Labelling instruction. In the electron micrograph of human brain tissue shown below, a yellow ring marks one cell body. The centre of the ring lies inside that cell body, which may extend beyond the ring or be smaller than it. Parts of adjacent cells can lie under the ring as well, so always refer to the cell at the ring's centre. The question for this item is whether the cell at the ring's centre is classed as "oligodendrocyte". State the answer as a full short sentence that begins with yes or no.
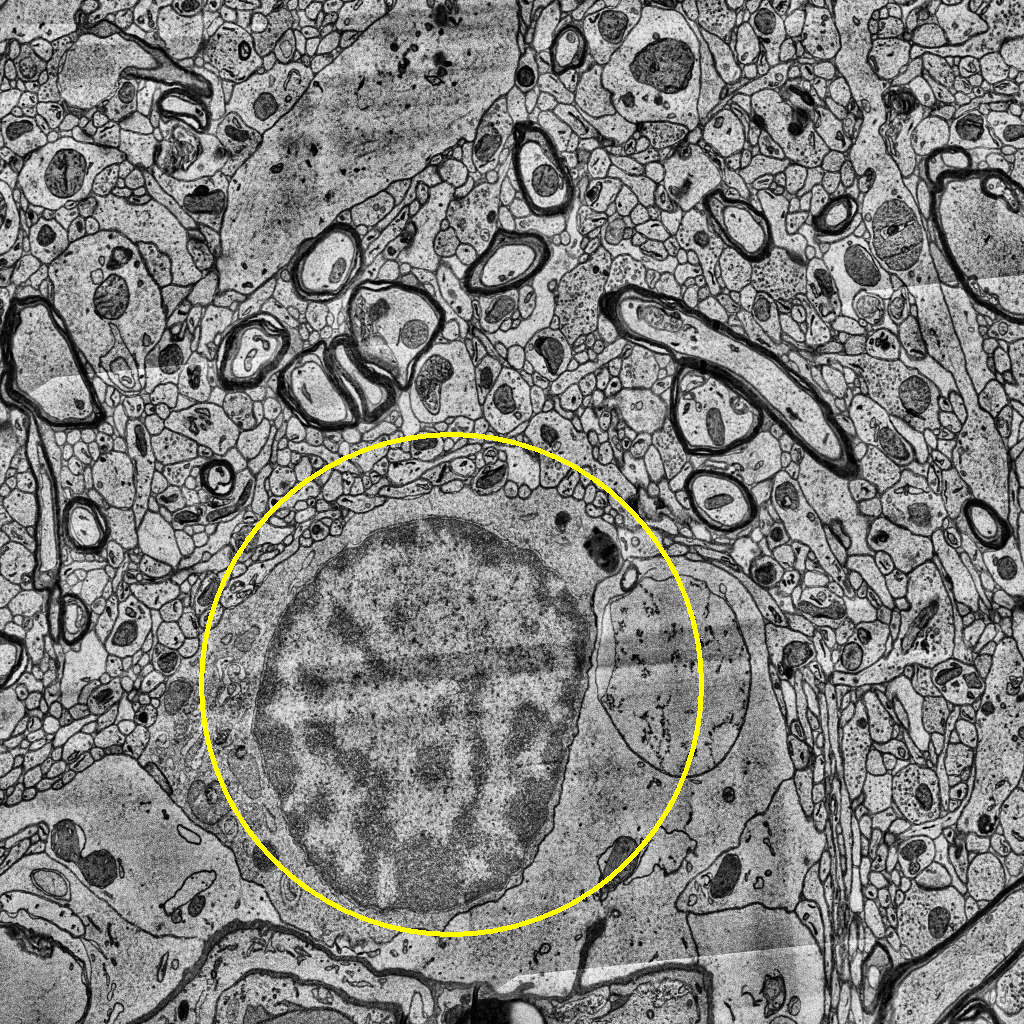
Yes, the cell at the ring's centre is of that class.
